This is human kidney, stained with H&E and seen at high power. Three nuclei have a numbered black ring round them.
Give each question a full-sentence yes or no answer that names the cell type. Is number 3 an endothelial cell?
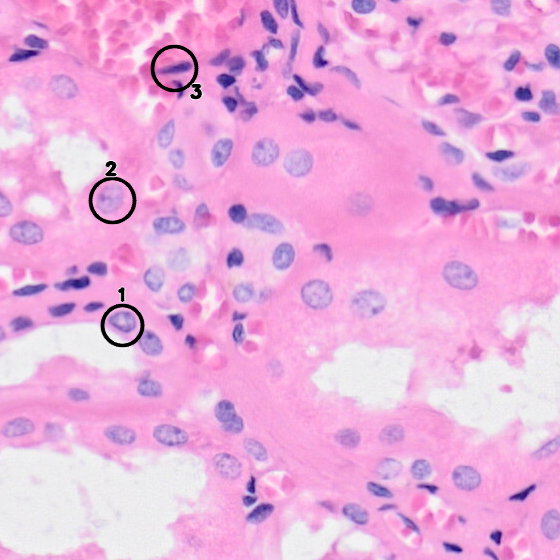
Yes, in this section the cell numbered 3 is an endothelial cell.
